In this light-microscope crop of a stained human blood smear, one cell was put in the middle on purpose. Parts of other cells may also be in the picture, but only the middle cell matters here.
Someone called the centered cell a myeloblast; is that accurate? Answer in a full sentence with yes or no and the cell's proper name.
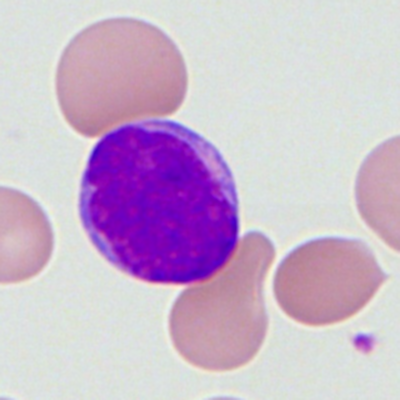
Yes, the middle cell of the field is a myeloblast.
